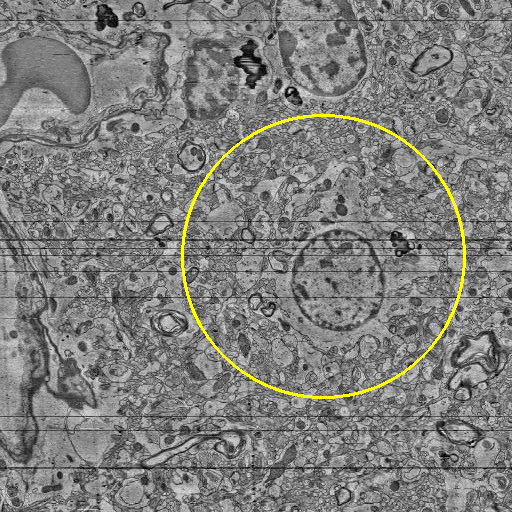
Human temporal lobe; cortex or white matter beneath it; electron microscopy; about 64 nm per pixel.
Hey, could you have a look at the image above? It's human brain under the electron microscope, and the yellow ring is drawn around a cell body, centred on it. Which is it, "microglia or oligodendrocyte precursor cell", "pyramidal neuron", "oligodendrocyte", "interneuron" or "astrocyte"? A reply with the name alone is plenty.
astrocyte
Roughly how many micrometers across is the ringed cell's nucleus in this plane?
About 6 micrometres across in this plane, for the nucleus.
